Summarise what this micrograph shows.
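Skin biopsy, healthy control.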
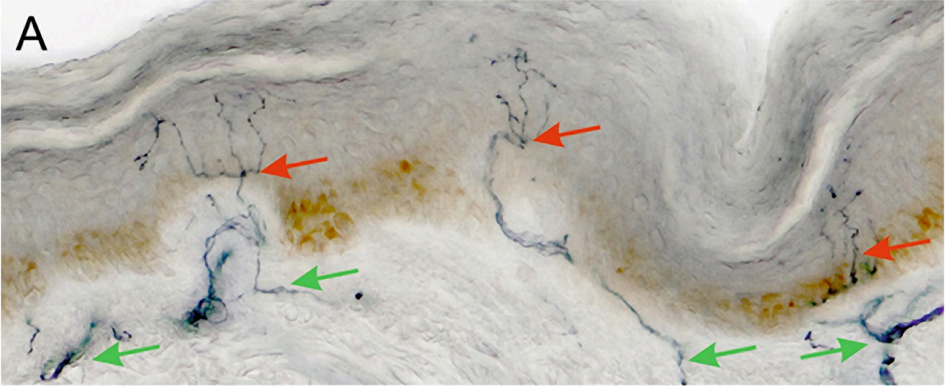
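The epidermis is a band of pale, closely packed keratinocytes under a layered, pale cornified surface, with brownish pigment along its base. Fine, dark, beaded threads rise from the dermis, cross the base of the epidermis and branch as they run up among the keratinocytes toward the upper layers.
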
